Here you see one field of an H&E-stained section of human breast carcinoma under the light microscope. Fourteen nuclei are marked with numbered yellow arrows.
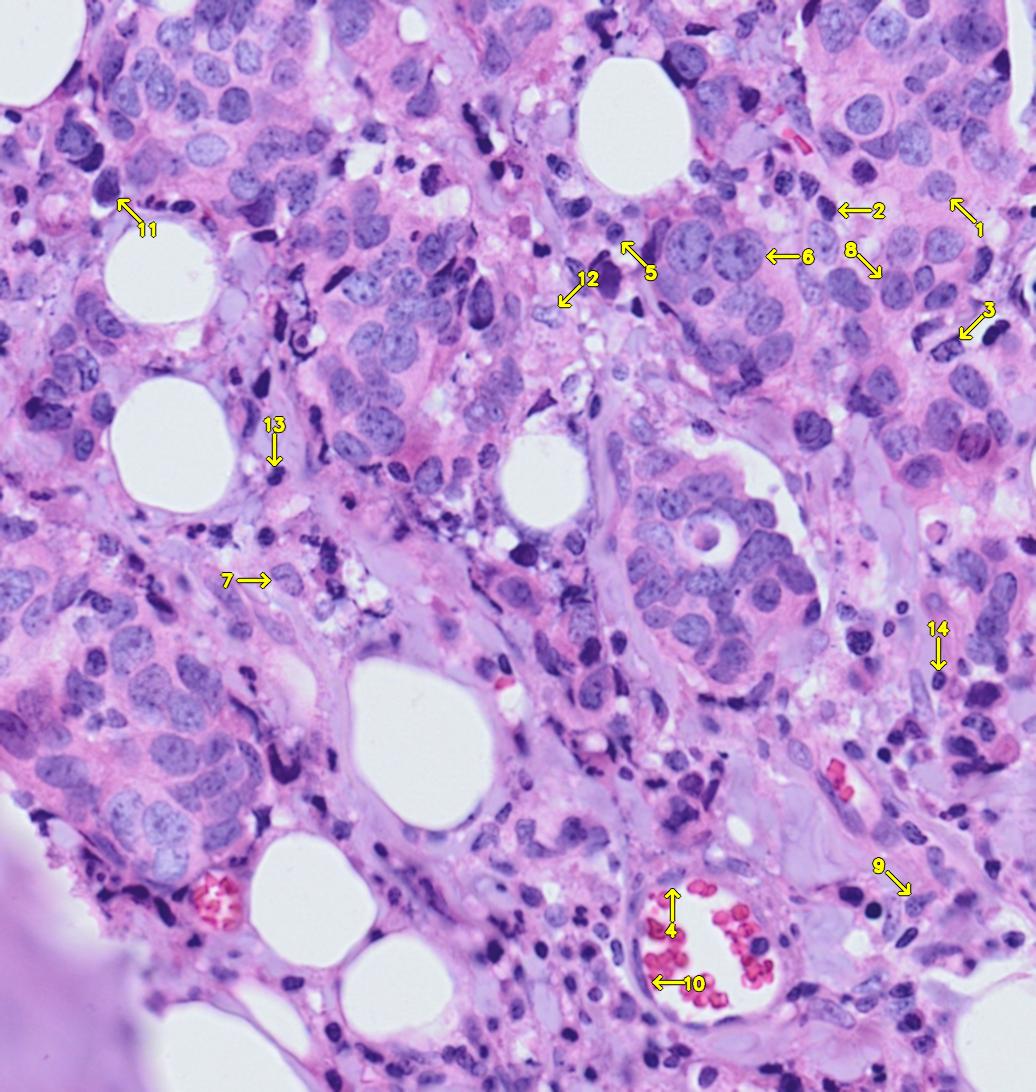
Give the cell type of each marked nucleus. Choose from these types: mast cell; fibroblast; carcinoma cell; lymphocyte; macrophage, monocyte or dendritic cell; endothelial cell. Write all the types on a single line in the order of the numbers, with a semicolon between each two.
carcinoma cell; lymphocyte; carcinoma cell; endothelial cell; lymphocyte; carcinoma cell; macrophage, monocyte or dendritic cell; carcinoma cell; mast cell; endothelial cell; carcinoma cell; macrophage, monocyte or dendritic cell; lymphocyte; lymphocyte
